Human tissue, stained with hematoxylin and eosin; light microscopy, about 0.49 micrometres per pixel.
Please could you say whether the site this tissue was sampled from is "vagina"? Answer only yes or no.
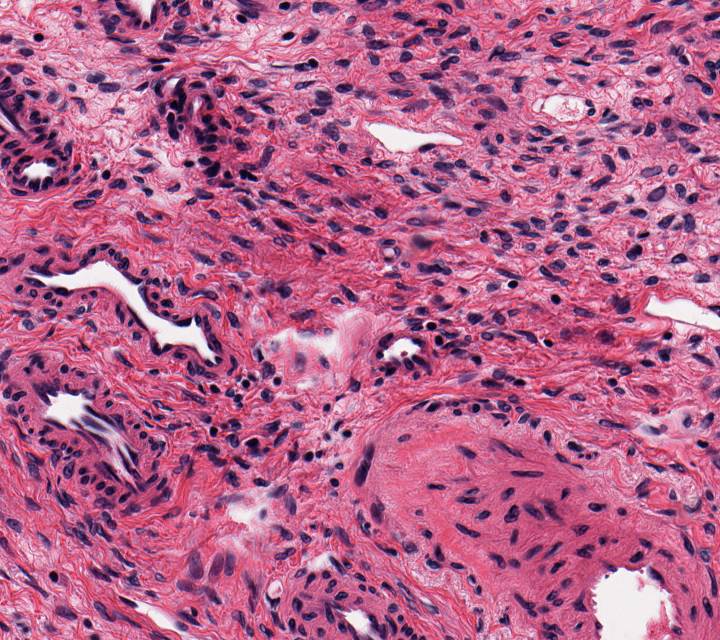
no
